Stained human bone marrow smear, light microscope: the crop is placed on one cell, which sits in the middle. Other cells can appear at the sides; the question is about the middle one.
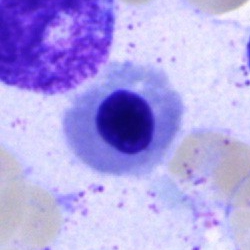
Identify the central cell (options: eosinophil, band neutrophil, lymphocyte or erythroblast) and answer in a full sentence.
The central element of this crop is a cell, namely an erythroblast.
